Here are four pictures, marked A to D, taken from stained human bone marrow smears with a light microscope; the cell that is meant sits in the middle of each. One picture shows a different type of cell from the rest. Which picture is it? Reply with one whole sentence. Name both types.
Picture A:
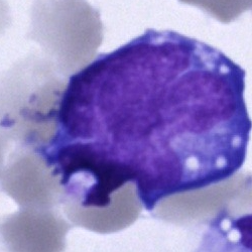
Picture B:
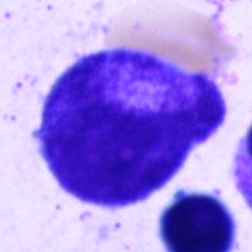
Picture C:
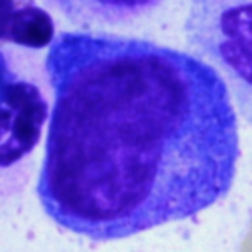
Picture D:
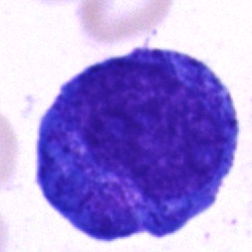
Picture A differs, because its cell is a blast and the rest are promyelocytes.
